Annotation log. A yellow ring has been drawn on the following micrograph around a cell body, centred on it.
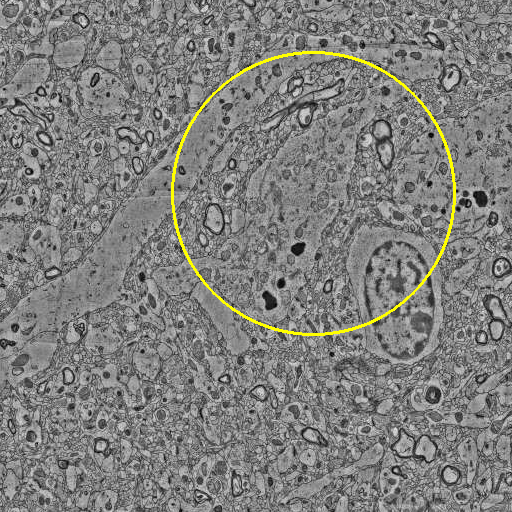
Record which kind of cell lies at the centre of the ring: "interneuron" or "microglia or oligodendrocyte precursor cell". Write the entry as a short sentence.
The cell the ring is centred on is an interneuron.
